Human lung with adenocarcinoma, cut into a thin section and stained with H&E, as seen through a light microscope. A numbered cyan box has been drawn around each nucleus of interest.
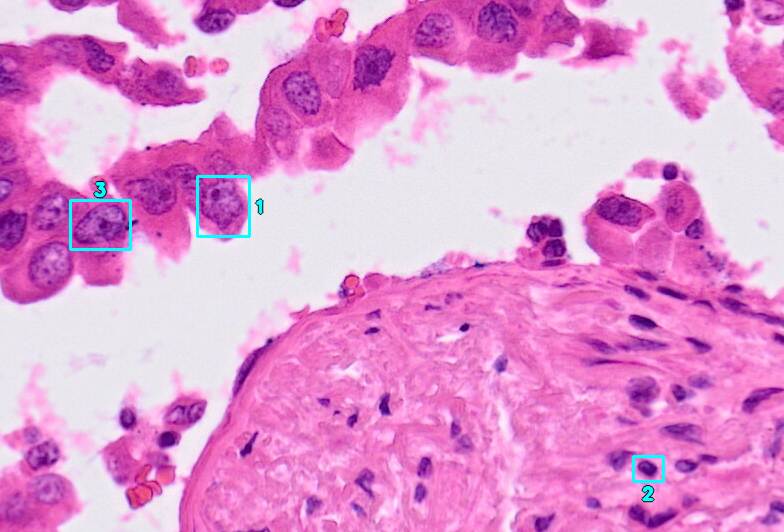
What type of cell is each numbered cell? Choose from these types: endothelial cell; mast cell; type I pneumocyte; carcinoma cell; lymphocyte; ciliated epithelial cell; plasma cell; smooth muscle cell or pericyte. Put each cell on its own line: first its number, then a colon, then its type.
1: carcinoma cell
2: lymphocyte
3: carcinoma cell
